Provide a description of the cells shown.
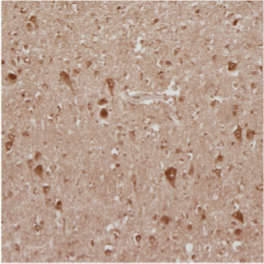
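This is cerebral cortex with scattered pyramidal cells stained darker brown within a diffusely brown background. The labelled cell bodies are triangular, some with a tapering process, and lie separated from one another among small pale gaps. No rounded plaque-like deposits stand out.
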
